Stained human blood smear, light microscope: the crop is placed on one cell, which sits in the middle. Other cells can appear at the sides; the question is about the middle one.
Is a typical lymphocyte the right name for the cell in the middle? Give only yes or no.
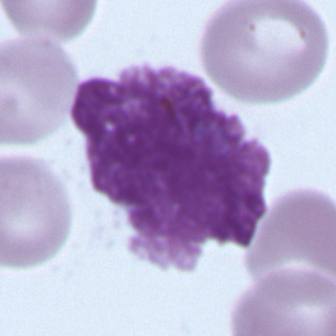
no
